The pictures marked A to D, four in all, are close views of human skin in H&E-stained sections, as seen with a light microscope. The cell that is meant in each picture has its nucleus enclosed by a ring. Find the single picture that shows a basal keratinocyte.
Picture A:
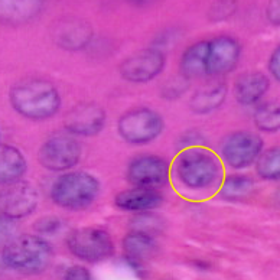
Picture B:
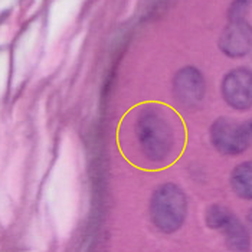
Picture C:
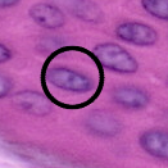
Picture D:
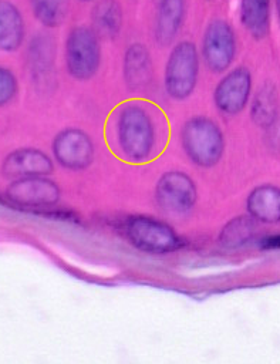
A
